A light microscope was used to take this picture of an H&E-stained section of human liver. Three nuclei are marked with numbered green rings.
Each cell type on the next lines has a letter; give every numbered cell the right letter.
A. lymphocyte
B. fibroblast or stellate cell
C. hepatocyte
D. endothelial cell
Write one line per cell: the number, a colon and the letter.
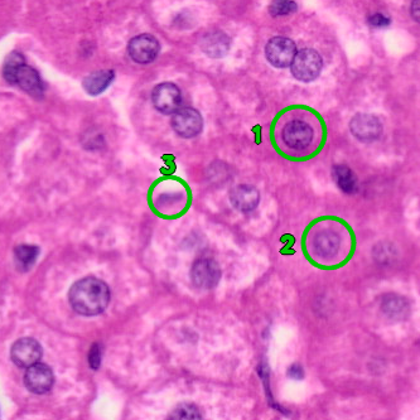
1: C
2: C
3: D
